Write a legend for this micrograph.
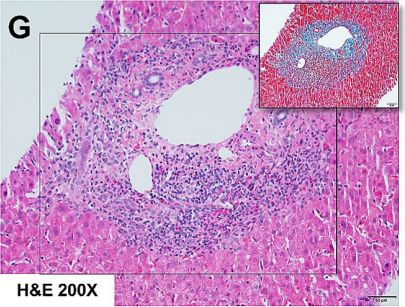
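This is a portal area of the liver, with a connective tissue tract containing vessel lumens and small ducts, surrounded by plates of hepatocytes. The hepatocytes are polygonal cells with pink cytoplasm and round central nuclei arranged in cords. The portal tract is expanded by a dense infiltrate of small round cells with dark nuclei and scant cytoplasm, consistent with lymphocytes. The inflammation reaches the boundary between the portal tract and the adjacent hepatocytes.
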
